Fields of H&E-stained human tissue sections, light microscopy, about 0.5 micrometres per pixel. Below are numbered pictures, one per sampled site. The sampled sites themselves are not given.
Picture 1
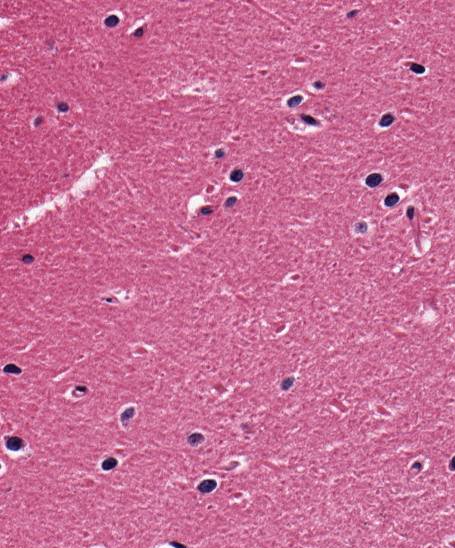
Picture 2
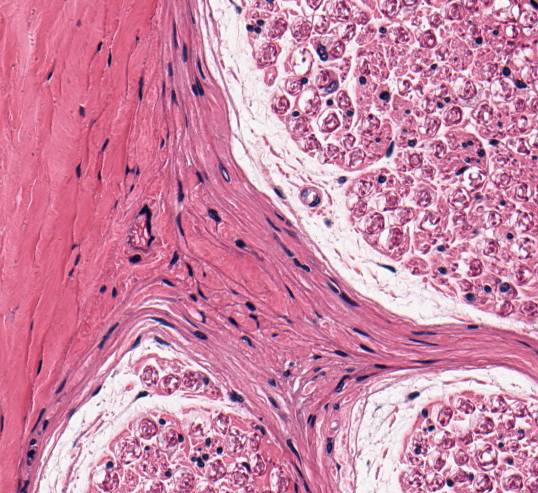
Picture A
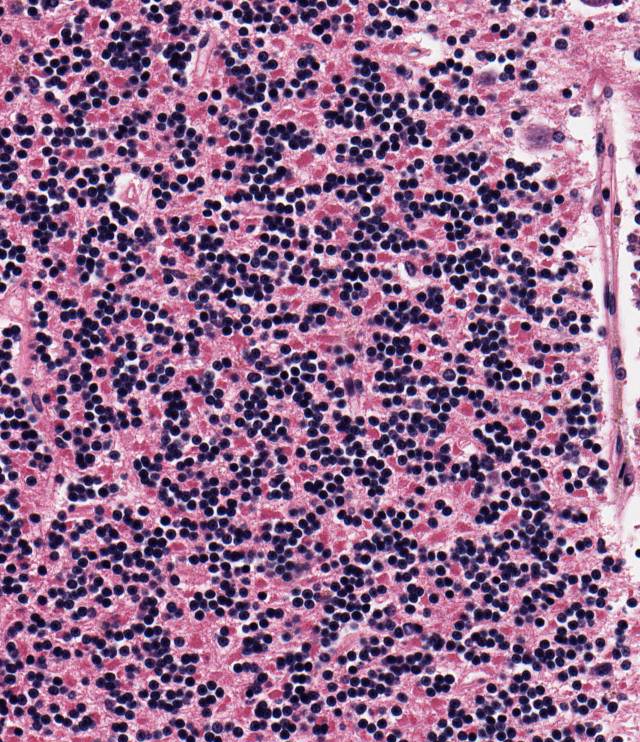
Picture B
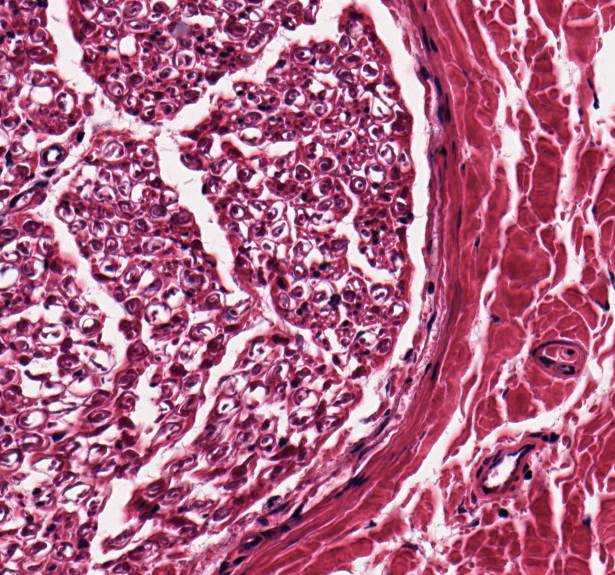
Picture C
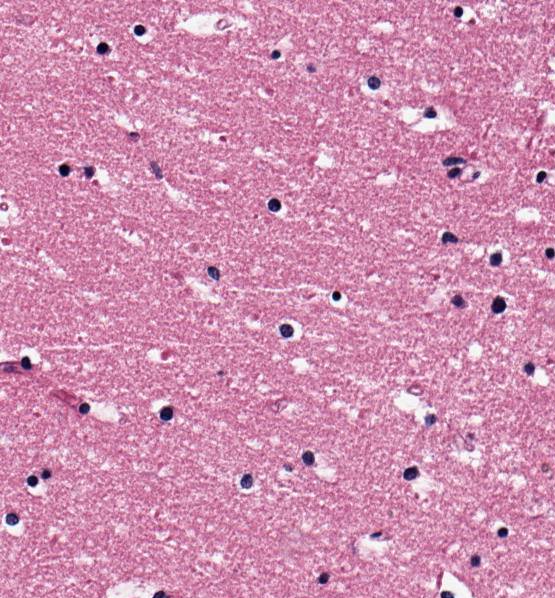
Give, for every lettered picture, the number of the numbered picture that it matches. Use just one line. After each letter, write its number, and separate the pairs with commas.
A 1, B 2, C 1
